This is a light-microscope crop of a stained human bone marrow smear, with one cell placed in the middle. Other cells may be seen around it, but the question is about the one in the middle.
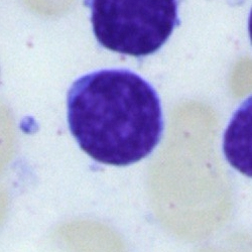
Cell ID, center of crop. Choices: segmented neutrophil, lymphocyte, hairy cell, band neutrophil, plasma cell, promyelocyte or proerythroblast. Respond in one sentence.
This crop is built around a lymphocyte at its centre.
